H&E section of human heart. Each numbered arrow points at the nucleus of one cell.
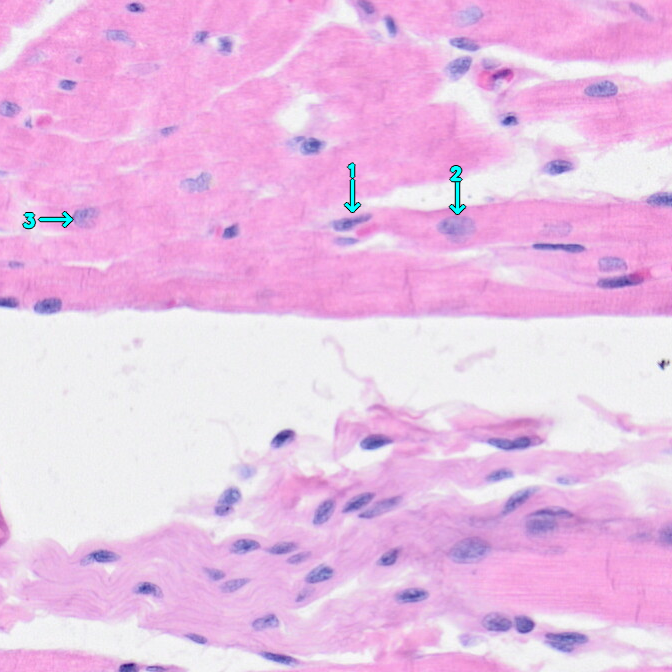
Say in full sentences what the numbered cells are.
Cell 1 is a fibroblast. Cells 2 and 3 are cardiomyocytes.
